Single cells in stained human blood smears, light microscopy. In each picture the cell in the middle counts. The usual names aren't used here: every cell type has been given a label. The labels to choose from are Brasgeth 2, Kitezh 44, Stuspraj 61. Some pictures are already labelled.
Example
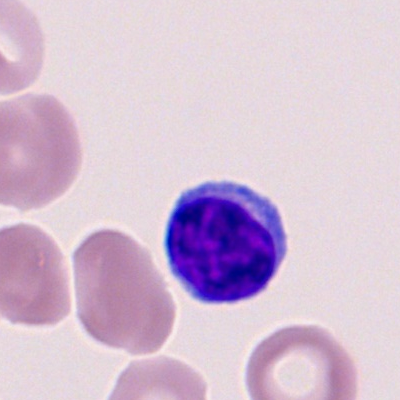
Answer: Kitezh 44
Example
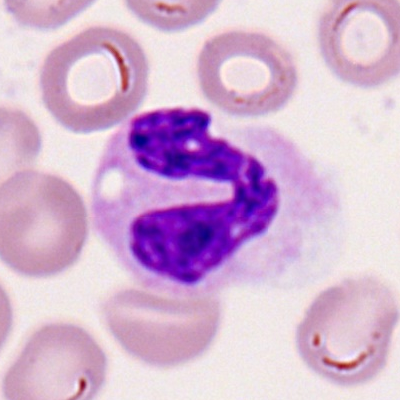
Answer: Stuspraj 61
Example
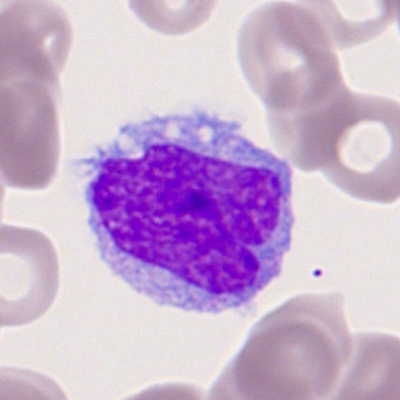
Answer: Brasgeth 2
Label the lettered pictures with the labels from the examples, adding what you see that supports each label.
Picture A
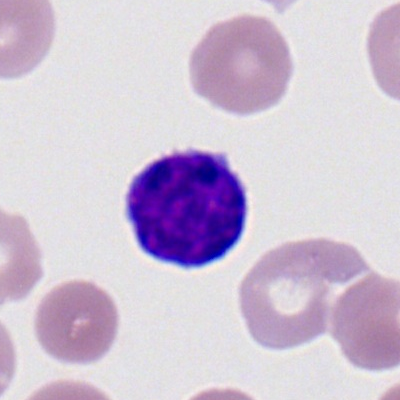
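Kitezh 44. Reason: The cytoplasm is scant, showing only as a thin rim around the nucleus.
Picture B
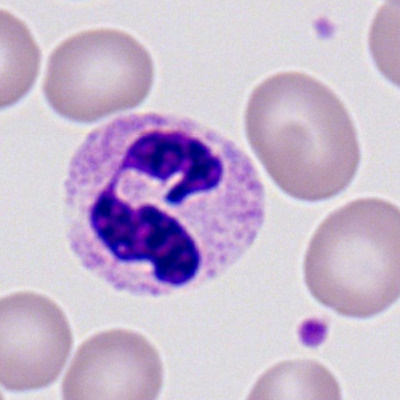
Stuspraj 61. Reason: The nucleus is a single curved band bent into an S-like shape.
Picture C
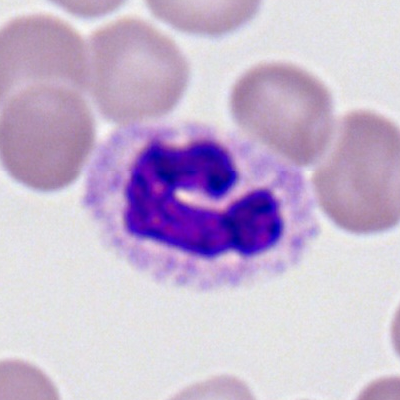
Stuspraj 61. Reason: The nucleus is a curved, folded band that bends around a pale central cleft.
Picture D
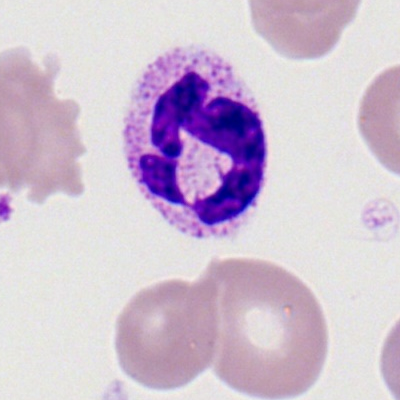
Stuspraj 61. Reason: The nucleus is a thick, curved, partly constricted band that curls around a pale central patch of cytoplasm.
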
